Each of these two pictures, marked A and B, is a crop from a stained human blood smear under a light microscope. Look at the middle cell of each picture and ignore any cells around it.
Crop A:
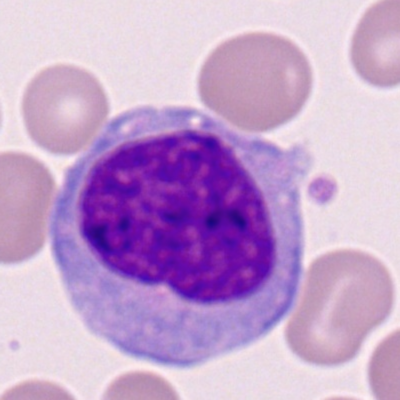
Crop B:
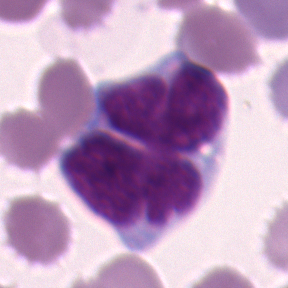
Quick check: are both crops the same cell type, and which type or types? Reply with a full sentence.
Yes, at the centre of both crops are monocytes.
